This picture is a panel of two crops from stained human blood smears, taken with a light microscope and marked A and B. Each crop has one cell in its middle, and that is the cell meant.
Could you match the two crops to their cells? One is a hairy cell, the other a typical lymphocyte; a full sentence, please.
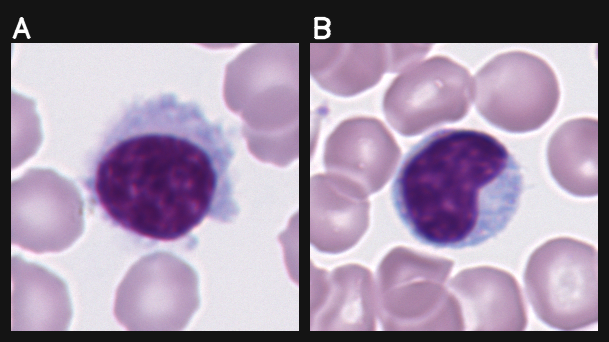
Identification: crop A is a hairy cell; crop B is a typical lymphocyte.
